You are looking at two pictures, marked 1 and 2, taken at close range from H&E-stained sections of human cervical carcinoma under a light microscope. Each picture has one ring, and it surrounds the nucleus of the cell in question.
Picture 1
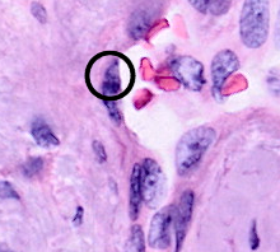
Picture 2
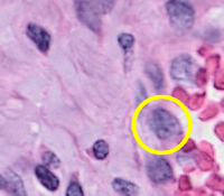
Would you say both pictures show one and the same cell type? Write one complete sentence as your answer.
Yes, both are endothelial cells.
